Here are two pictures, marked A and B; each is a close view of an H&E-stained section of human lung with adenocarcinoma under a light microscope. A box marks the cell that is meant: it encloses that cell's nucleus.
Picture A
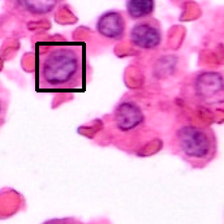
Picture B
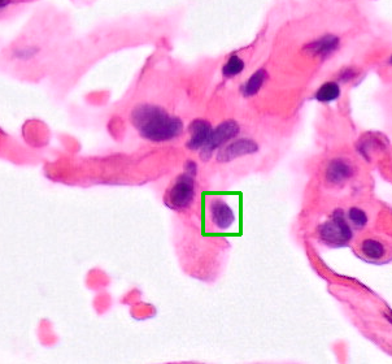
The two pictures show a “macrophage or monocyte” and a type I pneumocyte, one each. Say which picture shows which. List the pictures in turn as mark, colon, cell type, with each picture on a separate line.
A: macrophage or monocyte
B: type I pneumocyte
